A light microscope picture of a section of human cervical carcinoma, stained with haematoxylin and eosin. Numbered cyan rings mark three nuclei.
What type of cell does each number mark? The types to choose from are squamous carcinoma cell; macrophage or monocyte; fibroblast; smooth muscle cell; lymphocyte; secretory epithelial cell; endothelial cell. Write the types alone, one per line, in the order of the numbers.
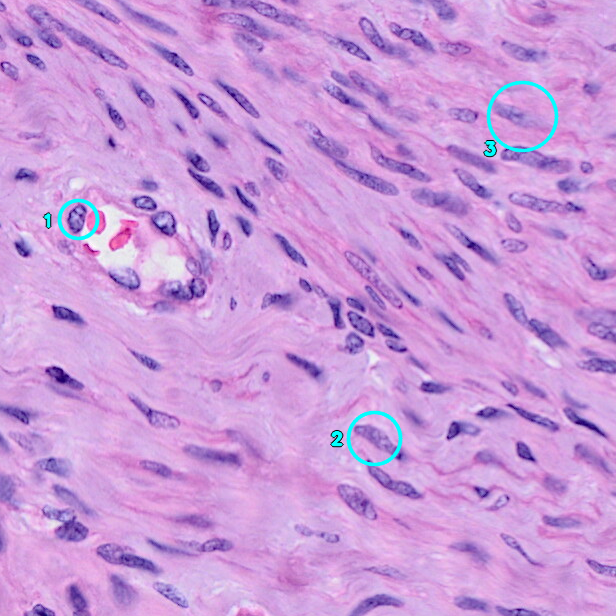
endothelial cell
smooth muscle cell
smooth muscle cell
